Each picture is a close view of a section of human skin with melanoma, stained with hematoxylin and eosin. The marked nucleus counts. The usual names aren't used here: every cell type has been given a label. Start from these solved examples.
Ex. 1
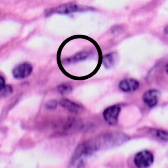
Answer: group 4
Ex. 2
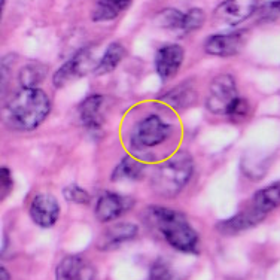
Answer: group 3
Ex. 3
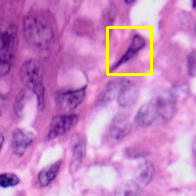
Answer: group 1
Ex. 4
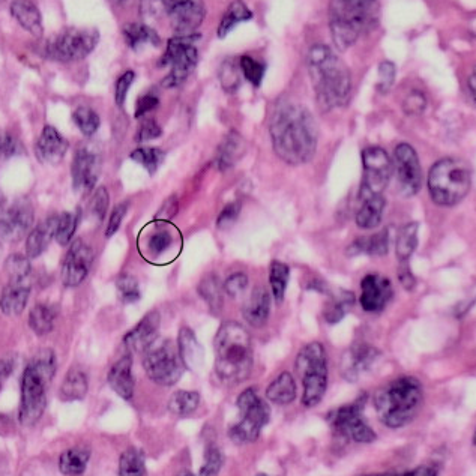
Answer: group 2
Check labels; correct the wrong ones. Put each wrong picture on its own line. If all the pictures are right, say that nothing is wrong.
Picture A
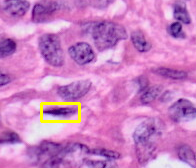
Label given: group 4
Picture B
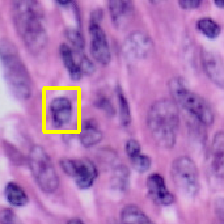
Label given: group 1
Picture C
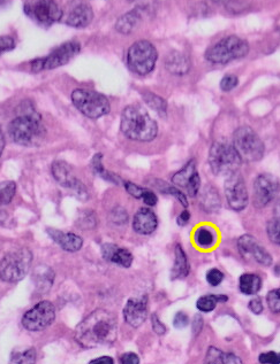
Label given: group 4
B: not group 1 but group 2
C: not group 4 but group 2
